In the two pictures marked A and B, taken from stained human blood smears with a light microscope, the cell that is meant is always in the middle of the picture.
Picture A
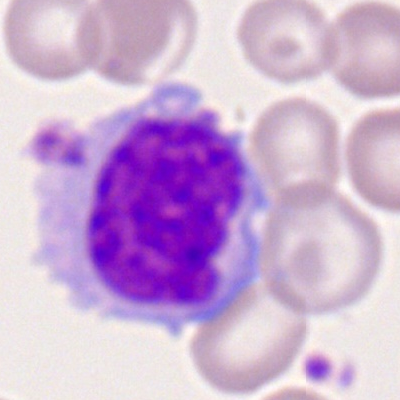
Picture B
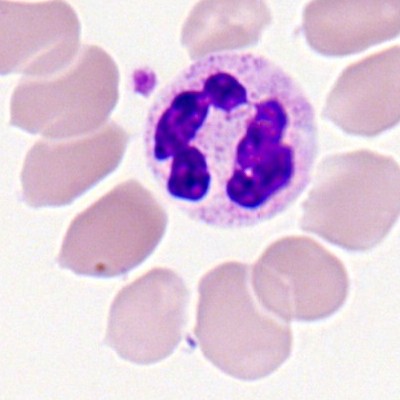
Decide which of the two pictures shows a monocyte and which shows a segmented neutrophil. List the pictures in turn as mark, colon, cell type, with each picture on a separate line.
A: monocyte
B: segmented neutrophil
